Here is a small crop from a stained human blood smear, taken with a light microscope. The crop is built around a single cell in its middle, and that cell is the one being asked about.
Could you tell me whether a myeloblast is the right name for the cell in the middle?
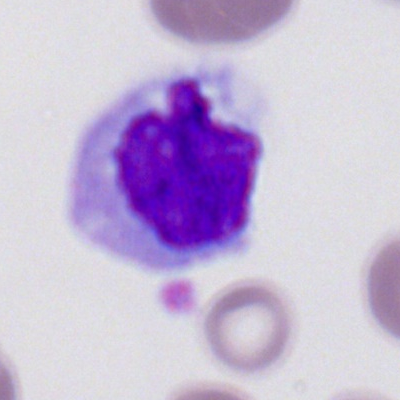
no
